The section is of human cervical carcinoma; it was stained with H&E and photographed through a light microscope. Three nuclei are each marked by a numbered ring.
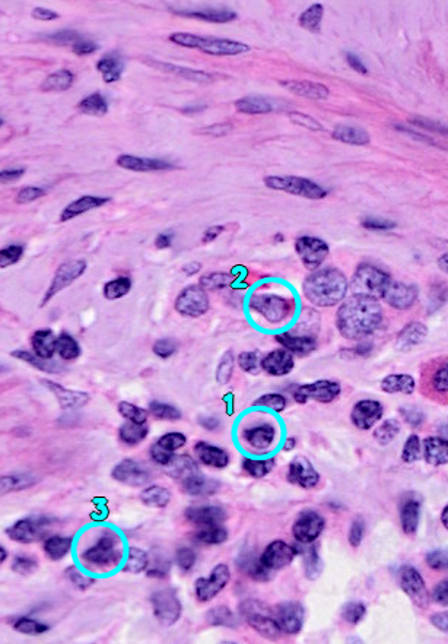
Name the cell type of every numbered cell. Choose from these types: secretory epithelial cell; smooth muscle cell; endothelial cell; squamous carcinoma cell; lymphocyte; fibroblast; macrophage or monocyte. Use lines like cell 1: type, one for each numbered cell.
cell 1: lymphocyte
cell 2: endothelial cell
cell 3: lymphocyte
